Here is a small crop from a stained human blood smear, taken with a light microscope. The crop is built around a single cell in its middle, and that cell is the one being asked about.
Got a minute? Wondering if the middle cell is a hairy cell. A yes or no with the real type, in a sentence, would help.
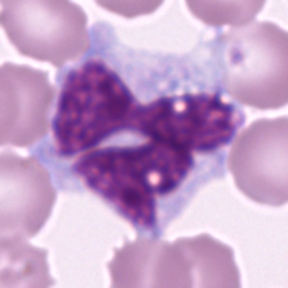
No, looking at the central cell, it is a monocyte rather than a hairy cell.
